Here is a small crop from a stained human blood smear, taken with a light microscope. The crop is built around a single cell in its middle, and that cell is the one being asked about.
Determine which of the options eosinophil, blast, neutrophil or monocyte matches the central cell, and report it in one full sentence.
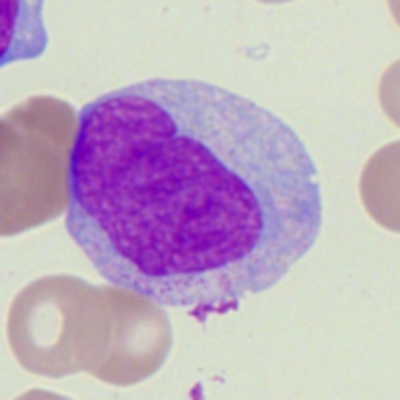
The cell under consideration, at the middle of the crop, is a monocyte.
